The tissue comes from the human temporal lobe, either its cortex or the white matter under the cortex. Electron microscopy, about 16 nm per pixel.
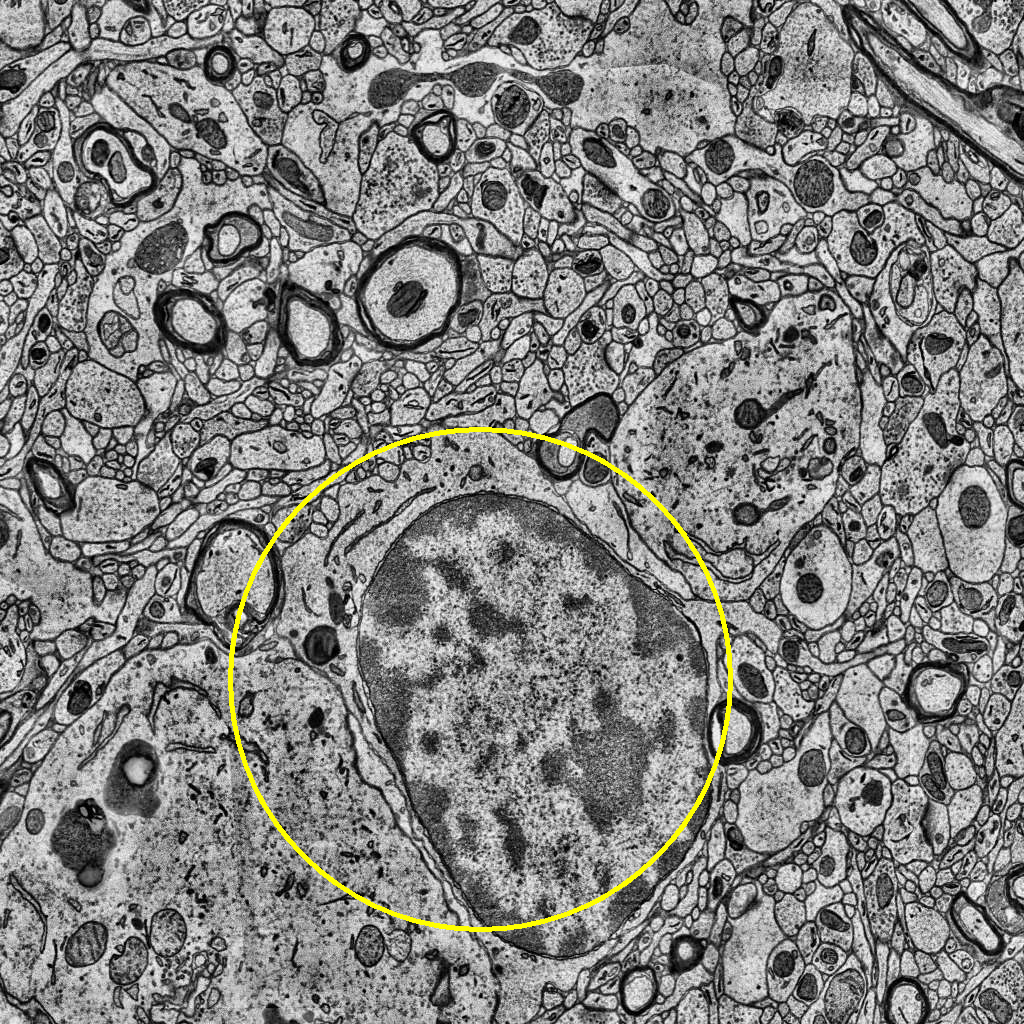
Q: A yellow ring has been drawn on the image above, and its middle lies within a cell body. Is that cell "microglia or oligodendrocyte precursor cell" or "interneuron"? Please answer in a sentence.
The ring's middle lies in the cell body of a microglial cell or oligodendrocyte precursor cell.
